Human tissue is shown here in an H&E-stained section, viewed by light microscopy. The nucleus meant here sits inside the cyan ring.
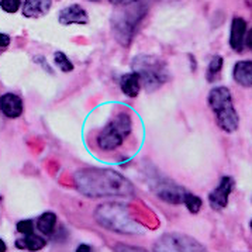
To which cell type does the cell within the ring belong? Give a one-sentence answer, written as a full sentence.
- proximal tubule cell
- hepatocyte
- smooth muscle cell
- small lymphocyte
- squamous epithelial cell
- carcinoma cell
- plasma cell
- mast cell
Considered by cell type, the cell within the ring is a mast cell.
